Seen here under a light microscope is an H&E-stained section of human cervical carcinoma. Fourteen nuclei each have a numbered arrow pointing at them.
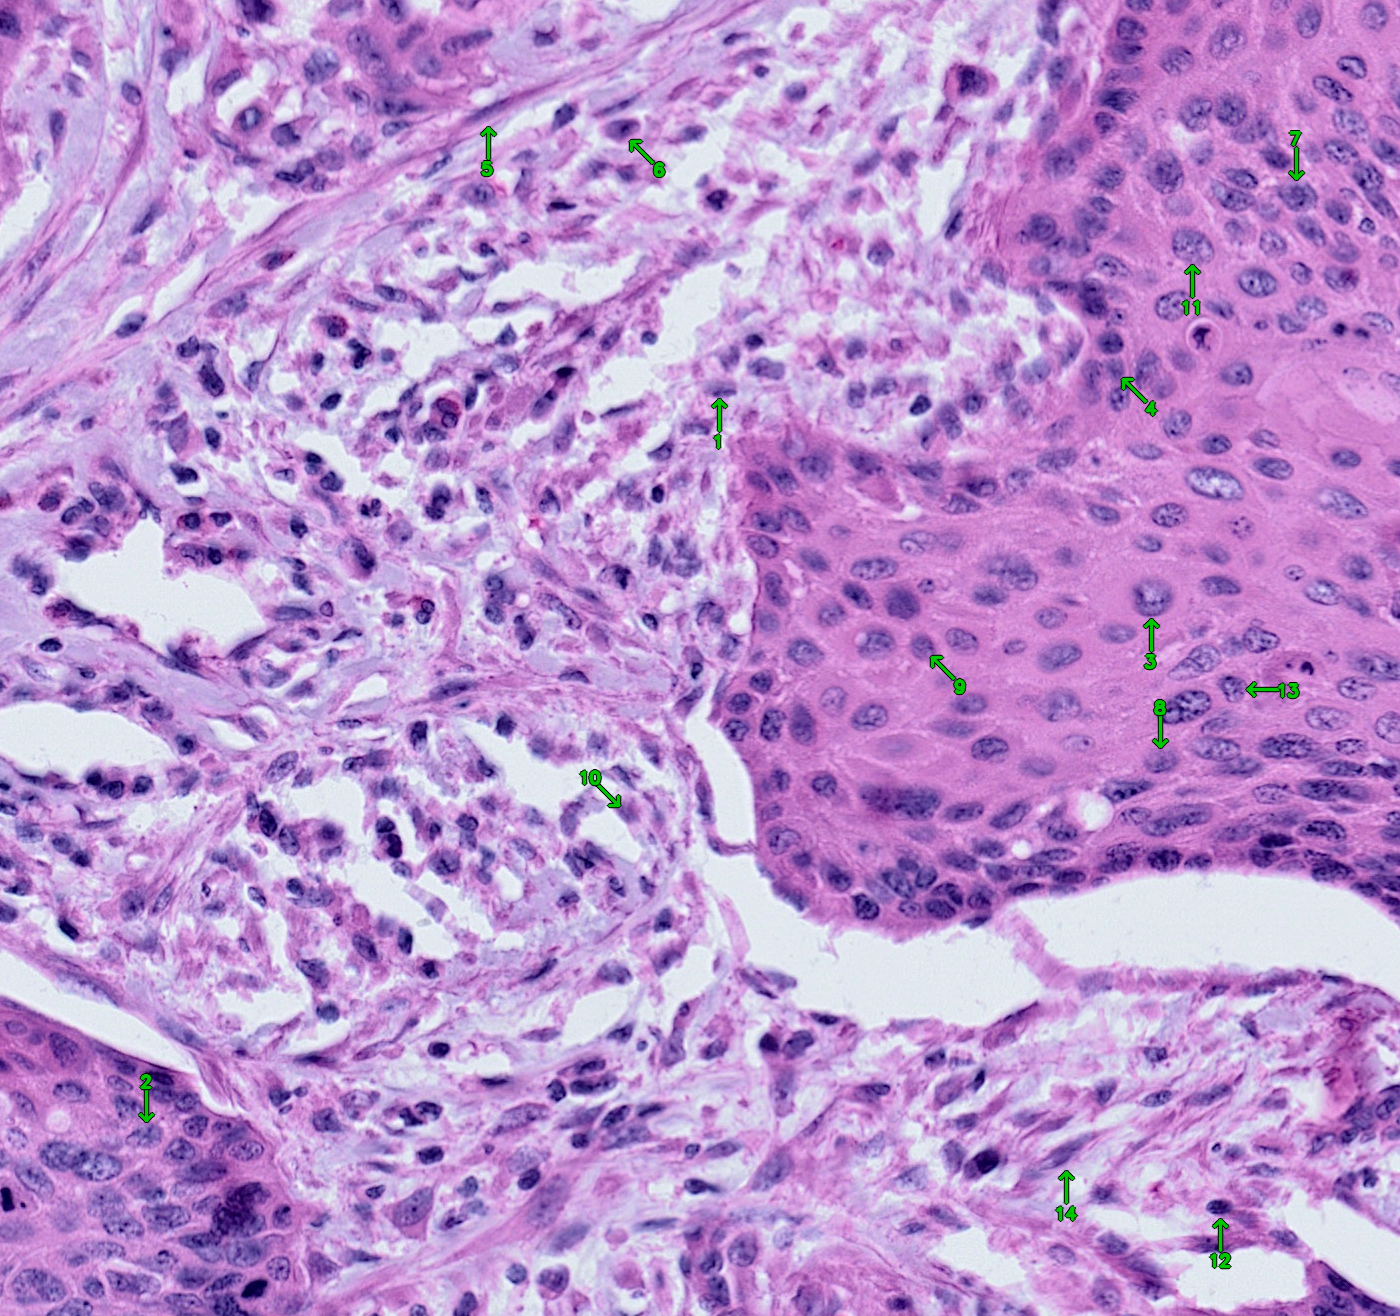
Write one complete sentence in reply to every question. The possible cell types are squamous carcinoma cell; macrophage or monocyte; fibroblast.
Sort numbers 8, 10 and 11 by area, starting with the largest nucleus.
By area, largest first, they run 11, 8, 10.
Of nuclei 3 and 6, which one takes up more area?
At about 2.5 times the area of nucleus 6, nucleus 3 is the larger of the two.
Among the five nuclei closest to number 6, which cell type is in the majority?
Most of the five nuclei nearest to number 6 are those of fibroblasts.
